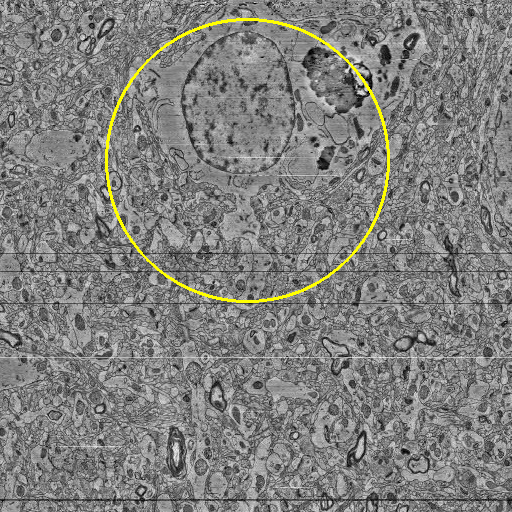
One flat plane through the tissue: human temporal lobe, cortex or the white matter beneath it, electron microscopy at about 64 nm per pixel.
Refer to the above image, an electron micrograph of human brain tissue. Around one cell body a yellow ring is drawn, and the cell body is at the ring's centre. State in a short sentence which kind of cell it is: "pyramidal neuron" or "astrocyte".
The centre of the ring falls on an astrocyte.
